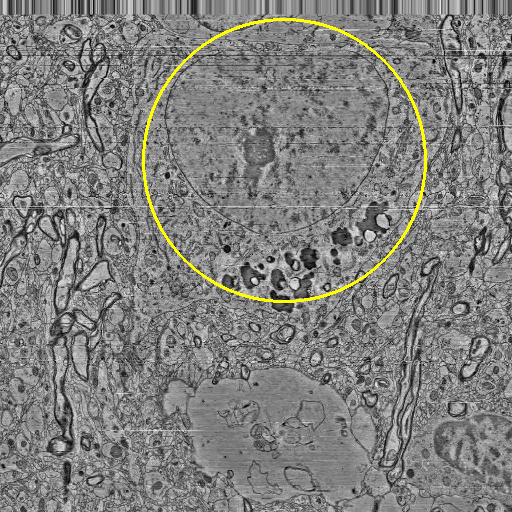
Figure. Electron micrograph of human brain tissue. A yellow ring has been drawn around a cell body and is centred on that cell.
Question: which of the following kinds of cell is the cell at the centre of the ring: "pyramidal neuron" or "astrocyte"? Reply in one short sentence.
The cell at the centre of the ring is a pyramidal neuron.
